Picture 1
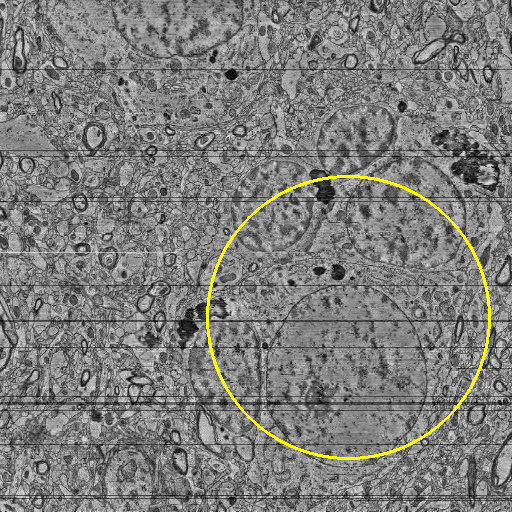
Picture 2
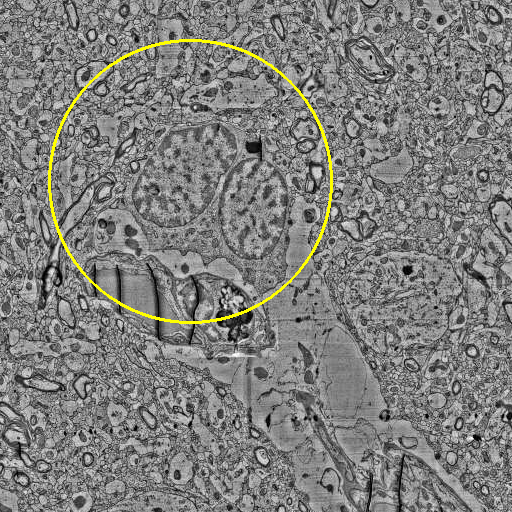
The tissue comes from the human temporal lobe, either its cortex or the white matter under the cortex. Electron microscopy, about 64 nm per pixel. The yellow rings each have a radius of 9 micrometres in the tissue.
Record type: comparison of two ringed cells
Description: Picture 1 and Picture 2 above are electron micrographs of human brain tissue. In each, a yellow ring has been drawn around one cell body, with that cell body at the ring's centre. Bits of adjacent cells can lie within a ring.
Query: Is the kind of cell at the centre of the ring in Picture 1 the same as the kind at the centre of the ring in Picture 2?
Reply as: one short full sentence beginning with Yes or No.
No, the two ringed cells are of two separate kinds.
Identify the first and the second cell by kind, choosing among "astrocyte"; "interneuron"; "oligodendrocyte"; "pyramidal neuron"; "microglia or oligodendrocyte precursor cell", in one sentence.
The one in the first picture is a pyramidal neuron, while the one in the second is an oligodendrocyte.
